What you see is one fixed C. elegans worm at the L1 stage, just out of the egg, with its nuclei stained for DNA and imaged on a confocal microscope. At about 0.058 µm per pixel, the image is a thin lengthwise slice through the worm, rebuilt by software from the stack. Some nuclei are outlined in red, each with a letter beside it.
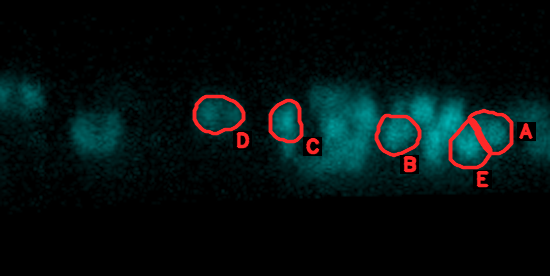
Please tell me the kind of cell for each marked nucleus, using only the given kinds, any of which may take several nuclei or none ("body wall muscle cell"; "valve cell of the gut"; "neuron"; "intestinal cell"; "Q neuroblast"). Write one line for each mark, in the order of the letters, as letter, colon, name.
A: body wall muscle cell
B: neuron
C: valve cell of the gut
D: intestinal cell
E: neuron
